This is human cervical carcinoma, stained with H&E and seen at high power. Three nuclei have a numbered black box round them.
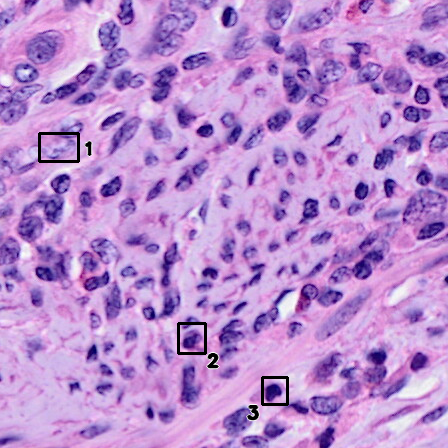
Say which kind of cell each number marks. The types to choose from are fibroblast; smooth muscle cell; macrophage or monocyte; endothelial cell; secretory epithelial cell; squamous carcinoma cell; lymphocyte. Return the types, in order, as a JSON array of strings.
["endothelial cell", "lymphocyte", "lymphocyte"]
